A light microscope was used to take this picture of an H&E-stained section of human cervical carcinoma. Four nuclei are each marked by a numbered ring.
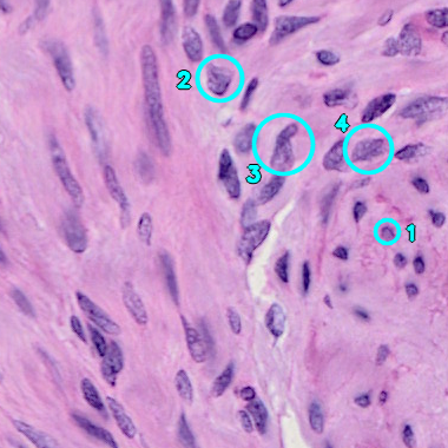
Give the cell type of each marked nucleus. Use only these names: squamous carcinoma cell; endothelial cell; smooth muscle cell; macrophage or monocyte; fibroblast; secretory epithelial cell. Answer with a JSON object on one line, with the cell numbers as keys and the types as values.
{"1": "smooth muscle cell", "2": "fibroblast", "3": "fibroblast", "4": "fibroblast"}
